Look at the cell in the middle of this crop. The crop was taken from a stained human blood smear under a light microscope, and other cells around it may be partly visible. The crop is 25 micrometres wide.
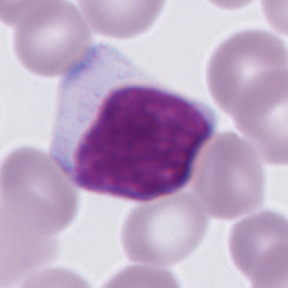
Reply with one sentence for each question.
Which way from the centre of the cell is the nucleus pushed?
It is shifted toward the lower right of the cell.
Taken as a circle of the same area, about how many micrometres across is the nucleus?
Taken as a circle, the nucleus has a diameter of about 10 micrometres.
